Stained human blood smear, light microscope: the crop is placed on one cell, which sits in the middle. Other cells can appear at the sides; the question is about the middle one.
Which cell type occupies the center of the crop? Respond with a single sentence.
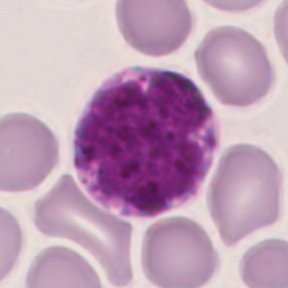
The cell occupying the middle of the crop is a basophil.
